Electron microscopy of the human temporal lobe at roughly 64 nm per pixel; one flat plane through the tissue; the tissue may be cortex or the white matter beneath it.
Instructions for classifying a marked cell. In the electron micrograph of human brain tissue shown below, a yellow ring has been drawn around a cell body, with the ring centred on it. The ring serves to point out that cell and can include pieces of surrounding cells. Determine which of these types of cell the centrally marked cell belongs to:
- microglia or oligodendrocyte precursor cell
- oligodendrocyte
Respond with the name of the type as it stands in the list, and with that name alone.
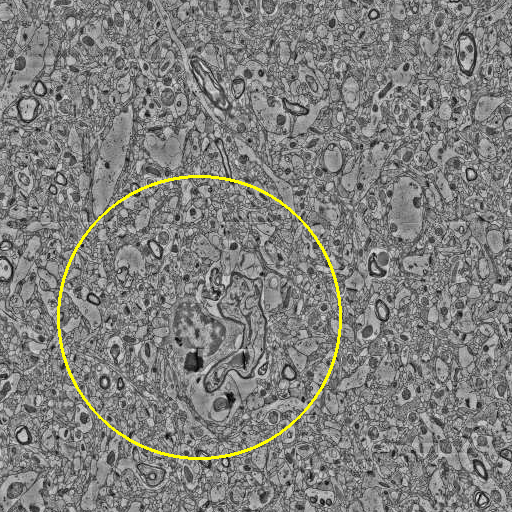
oligodendrocyte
